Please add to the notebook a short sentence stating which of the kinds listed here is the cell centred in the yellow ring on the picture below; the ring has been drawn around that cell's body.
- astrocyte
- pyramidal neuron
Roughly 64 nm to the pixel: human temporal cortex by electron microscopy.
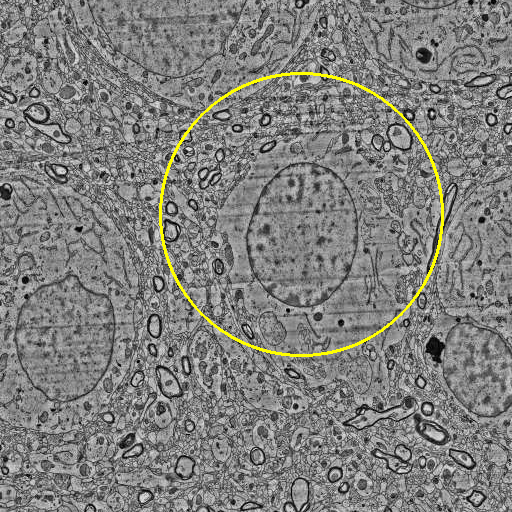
The cell centred in the yellow ring is an astrocyte.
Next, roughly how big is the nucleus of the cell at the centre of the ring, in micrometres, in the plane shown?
In this plane the nucleus measures roughly 9 by 7 micrometres.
